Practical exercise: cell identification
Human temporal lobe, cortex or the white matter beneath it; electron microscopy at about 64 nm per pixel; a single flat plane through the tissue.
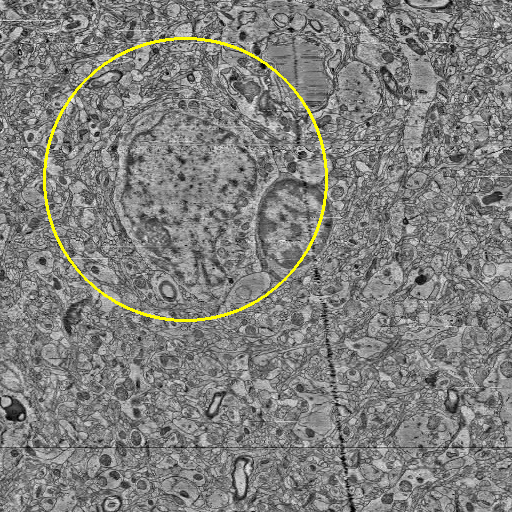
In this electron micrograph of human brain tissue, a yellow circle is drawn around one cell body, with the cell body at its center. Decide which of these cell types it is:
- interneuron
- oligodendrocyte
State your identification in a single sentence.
The ringed cell is an interneuron.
